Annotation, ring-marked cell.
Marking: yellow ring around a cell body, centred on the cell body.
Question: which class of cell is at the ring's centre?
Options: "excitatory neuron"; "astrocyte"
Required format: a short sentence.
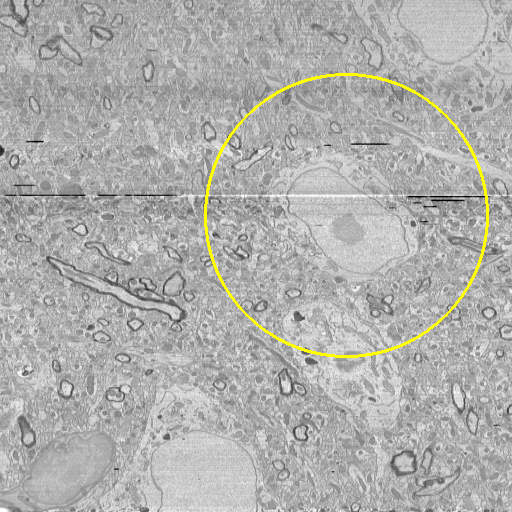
At the ring's centre is an excitatory neuron.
